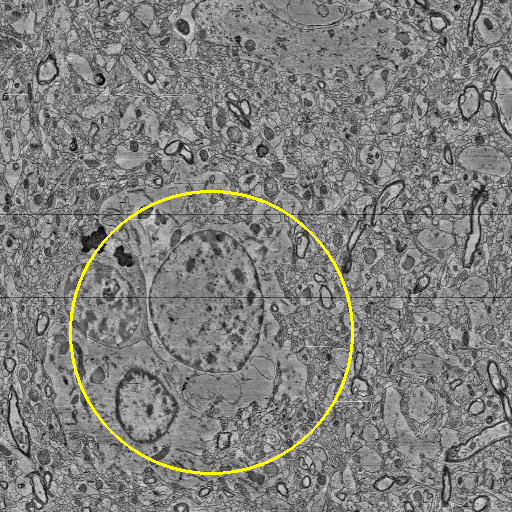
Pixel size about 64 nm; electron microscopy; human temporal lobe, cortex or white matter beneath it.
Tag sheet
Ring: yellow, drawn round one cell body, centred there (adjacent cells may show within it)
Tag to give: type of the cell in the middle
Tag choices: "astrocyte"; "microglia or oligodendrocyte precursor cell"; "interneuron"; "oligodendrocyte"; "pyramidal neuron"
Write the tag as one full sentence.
I tag the cell centred in the yellow ring as an astrocyte in this picture.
